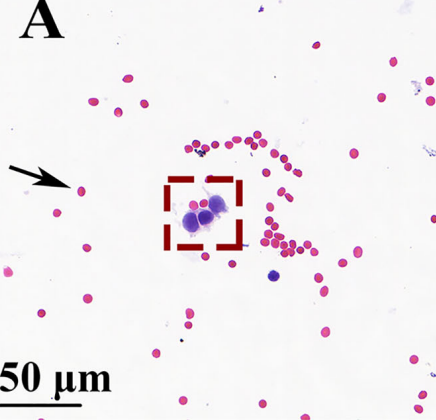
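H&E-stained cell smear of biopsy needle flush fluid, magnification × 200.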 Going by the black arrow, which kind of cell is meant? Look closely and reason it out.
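Blood cells. The arrow points to a small round cell stained pink-red, without a nucleus. Many similar small round pink-red cells are scattered across the smear.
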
